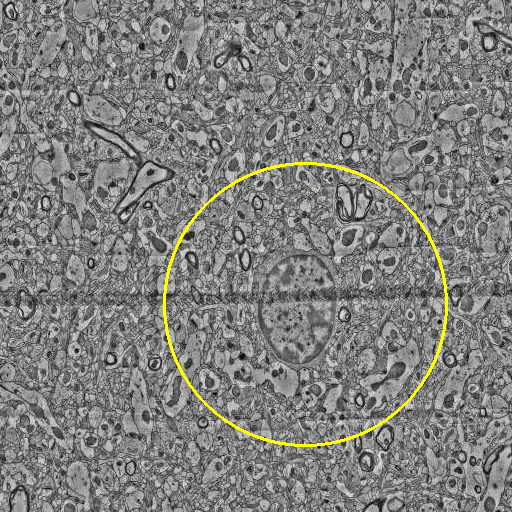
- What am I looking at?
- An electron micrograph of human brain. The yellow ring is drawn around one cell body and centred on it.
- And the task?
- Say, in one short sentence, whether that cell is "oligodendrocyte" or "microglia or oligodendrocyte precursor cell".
The cell in the middle of the ring is an oligodendrocyte.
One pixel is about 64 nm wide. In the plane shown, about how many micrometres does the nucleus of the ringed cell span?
In this plane the nucleus spans approximately 7 by 5 micrometers.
